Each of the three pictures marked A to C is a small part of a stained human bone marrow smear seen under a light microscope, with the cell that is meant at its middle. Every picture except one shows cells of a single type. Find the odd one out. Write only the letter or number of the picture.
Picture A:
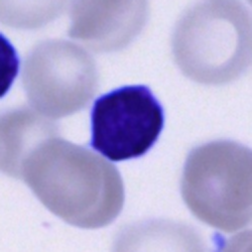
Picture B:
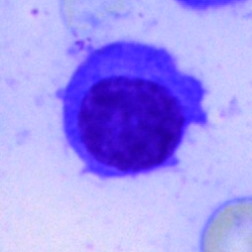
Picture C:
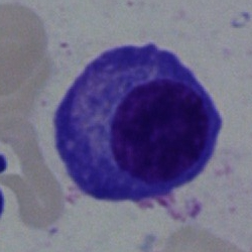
A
